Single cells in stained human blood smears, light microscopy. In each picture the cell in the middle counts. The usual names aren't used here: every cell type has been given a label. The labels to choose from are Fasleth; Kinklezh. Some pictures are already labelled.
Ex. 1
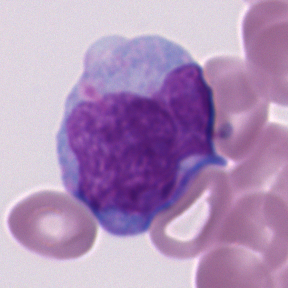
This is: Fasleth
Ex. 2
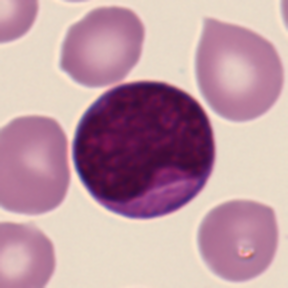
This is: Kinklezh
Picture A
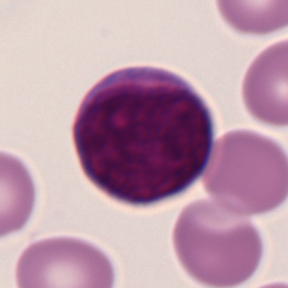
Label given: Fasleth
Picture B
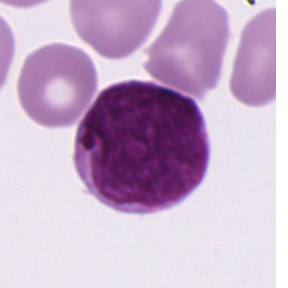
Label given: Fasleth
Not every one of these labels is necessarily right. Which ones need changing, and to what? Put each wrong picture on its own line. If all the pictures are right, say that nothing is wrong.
A: not Fasleth but Kinklezh
B: not Fasleth but Kinklezh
